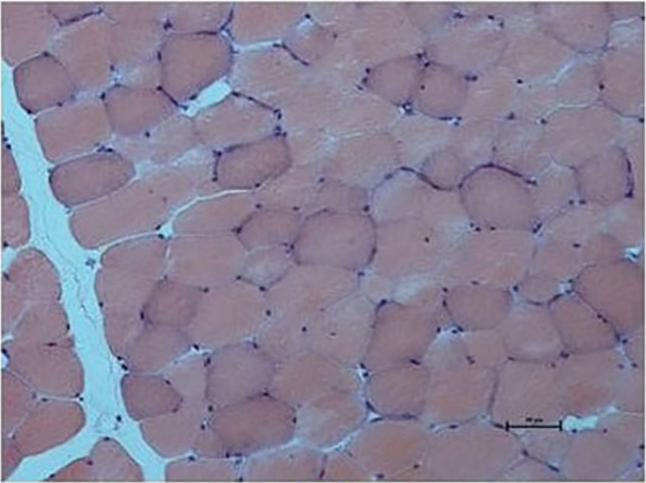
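This is skeletal muscle cut in cross-section, made up of many closely packed muscle fibers. The fibers are polygonal, with pink cytoplasm, some fibers staining slightly darker purple than others. Small dark nuclei lie at the edges of the fibers rather than in their centres. Thin pale strands of connective tissue run between fibers, and a wider pale band of connective tissue crosses the left side of the field.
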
